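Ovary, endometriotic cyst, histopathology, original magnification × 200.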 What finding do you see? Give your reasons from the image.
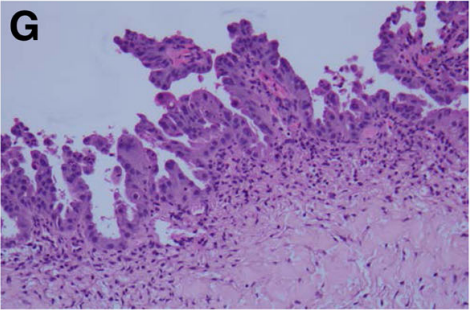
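The surface epithelium rises into small finger-like projections. The projections rest on a fibrous wall below. That points to this answer: small papillation.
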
